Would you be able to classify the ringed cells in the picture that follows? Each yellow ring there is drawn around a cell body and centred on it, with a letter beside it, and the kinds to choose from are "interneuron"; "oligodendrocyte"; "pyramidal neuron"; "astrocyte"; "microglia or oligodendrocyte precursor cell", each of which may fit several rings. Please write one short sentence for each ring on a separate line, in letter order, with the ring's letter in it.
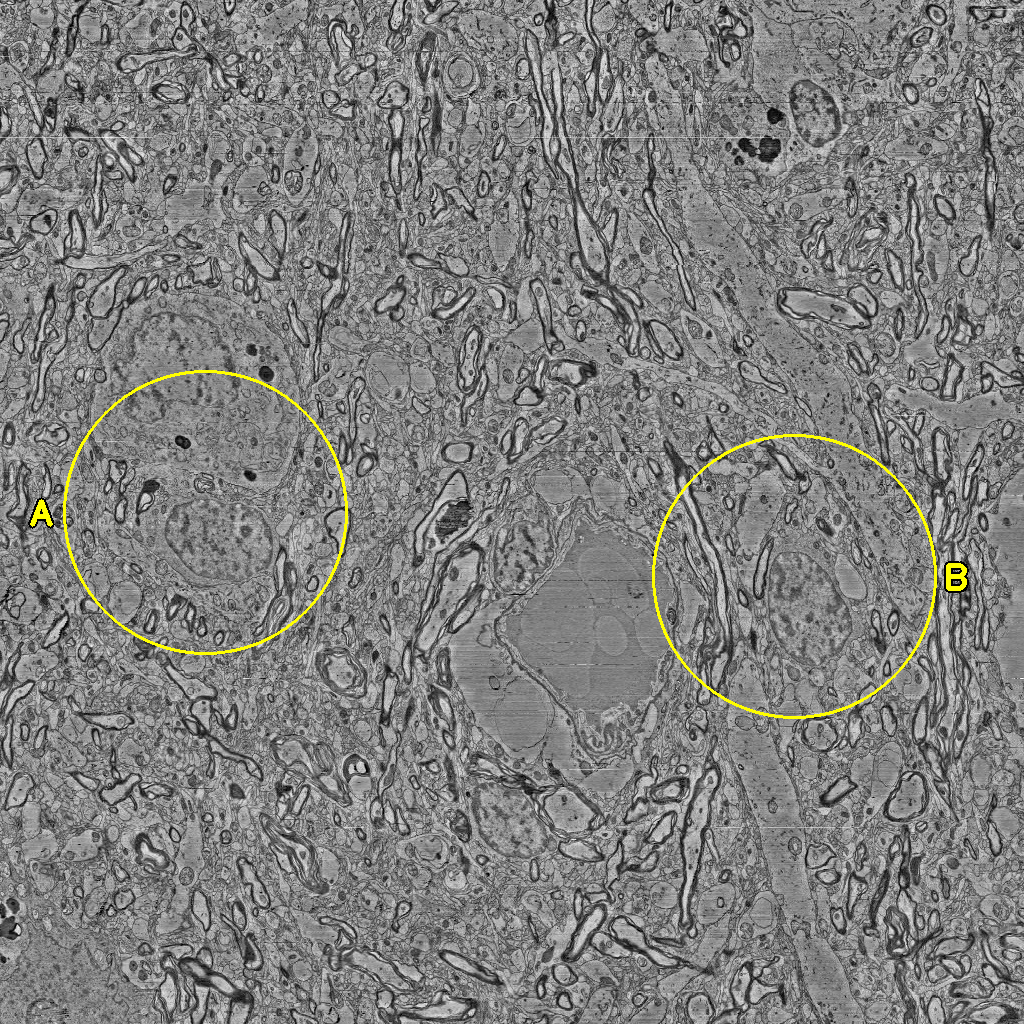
The cell body at the centre of ring A belongs to an oligodendrocyte.
The cell body at the centre of ring B belongs to an oligodendrocyte.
